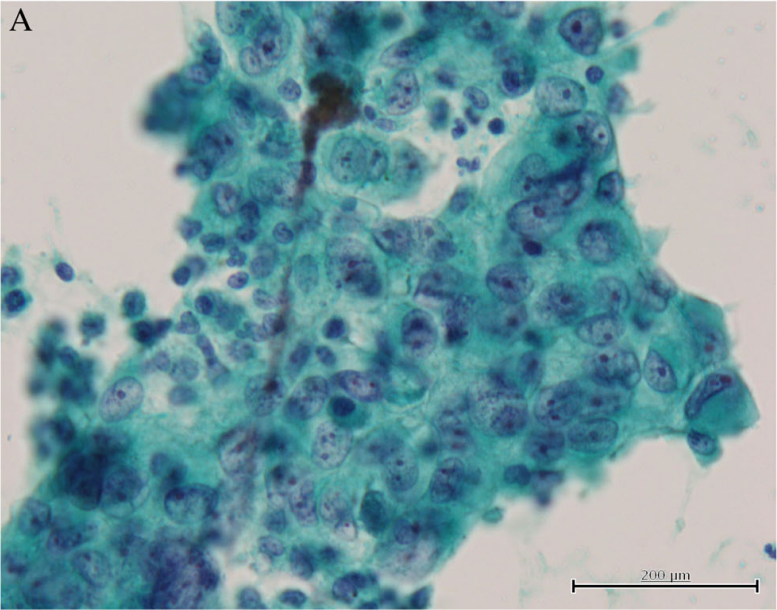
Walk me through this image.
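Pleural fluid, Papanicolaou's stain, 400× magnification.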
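The cells are large, with abundant pale green cytoplasm and large, oval, dark blue nuclei. Many nuclei show a distinct nucleolus, and the nuclei vary in size and shape, some lying crowded and overlapping. Smaller dark round cells are scattered at the edges of the cluster.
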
